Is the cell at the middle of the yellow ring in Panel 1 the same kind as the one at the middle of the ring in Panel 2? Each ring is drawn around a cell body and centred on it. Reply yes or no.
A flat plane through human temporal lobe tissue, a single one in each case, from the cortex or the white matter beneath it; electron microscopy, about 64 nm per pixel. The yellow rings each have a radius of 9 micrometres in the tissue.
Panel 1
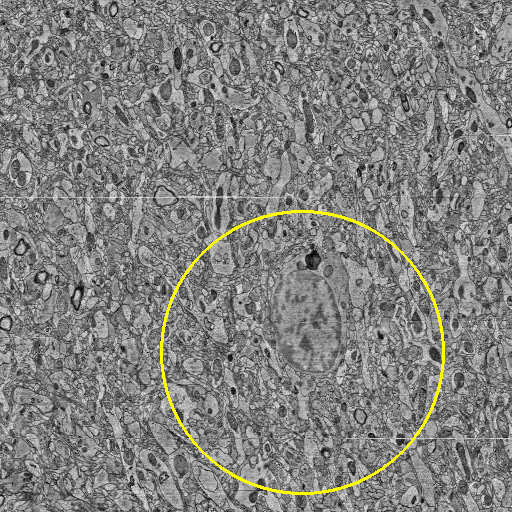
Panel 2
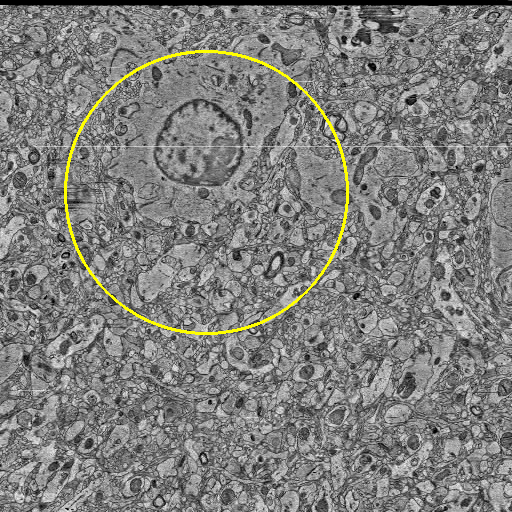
no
